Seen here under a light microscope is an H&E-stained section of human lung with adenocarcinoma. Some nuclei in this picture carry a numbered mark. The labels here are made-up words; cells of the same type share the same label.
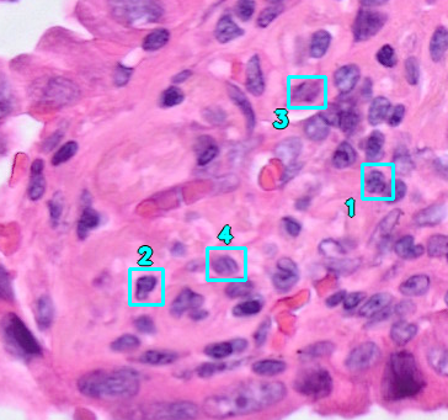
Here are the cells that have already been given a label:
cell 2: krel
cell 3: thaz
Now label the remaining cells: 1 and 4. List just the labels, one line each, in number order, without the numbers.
krel
krel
